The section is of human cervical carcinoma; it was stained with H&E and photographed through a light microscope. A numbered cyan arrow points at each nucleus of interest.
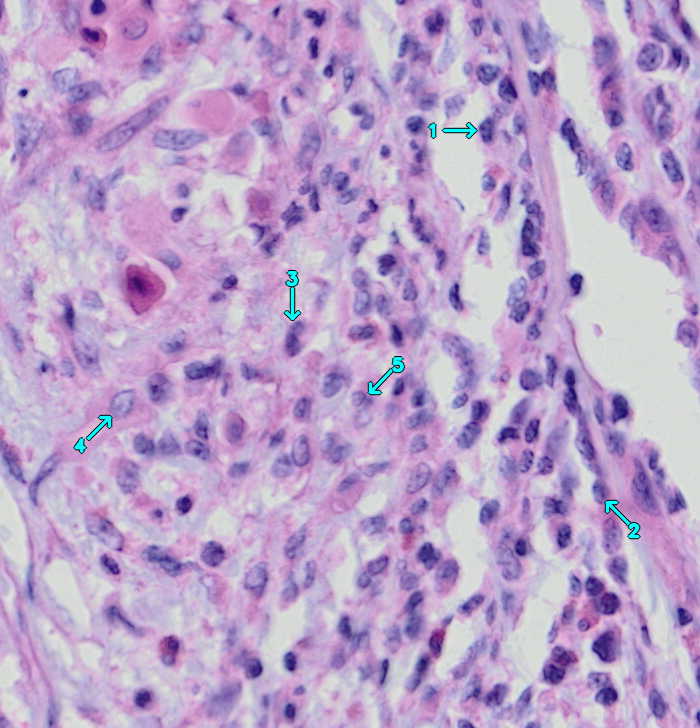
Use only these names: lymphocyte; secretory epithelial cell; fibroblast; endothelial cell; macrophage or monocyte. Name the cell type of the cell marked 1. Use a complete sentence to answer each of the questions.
The nucleus labeled 1 belongs to a lymphocyte.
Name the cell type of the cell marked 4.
In this section, number 4 marks an endothelial cell.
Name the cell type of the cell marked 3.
At number 3, the marked cell is a macrophage or monocyte.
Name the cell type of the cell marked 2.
Belonging to a lymphocyte is the nucleus that carries the number 2.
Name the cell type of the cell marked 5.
The cell bearing label 5 corresponds to a macrophage or monocyte.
